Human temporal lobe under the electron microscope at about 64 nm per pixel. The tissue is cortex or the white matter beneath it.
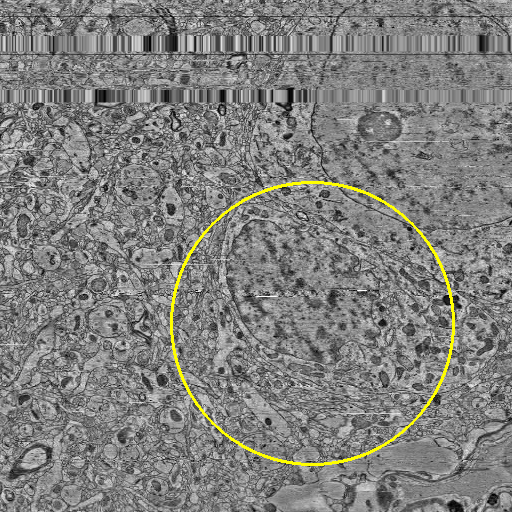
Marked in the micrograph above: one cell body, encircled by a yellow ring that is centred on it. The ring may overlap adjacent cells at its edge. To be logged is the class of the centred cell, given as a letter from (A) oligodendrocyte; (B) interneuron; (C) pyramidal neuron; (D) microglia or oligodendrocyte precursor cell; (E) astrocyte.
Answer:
B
